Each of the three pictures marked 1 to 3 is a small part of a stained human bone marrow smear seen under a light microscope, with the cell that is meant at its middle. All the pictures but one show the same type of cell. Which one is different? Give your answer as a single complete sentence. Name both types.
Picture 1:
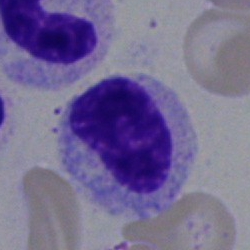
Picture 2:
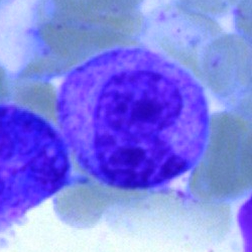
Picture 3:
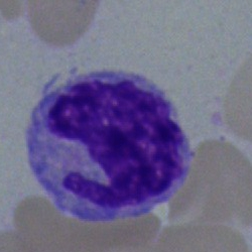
The different one is picture 3; it shows a monocyte, whereas all the others show metamyelocytes.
